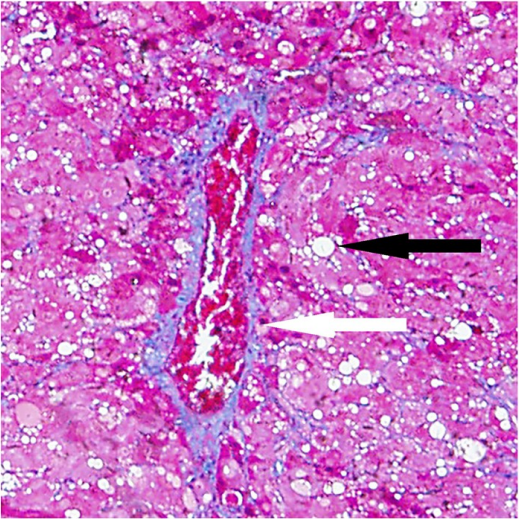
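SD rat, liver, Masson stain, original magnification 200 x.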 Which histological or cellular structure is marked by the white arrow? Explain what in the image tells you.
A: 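A blue-stained layer surrounds a blood-filled vessel. Thin blue strands extend from it into the surrounding liver tissue. On this evidence: collagen fibers.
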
